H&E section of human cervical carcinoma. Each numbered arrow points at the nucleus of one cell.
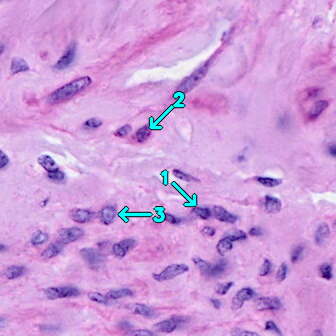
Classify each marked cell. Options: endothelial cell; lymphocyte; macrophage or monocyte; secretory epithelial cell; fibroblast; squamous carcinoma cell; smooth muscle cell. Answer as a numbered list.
1. fibroblast
2. smooth muscle cell
3. smooth muscle cell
